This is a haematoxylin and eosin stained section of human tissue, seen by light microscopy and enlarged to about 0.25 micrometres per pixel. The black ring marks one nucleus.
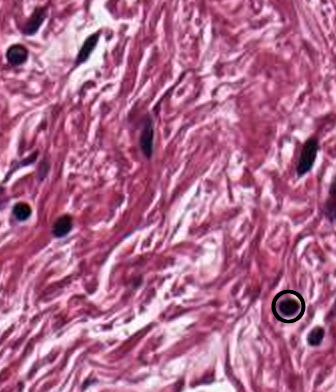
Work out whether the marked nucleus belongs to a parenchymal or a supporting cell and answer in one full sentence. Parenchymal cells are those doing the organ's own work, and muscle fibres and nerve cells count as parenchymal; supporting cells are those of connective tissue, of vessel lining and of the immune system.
Designated as that of a supporting cell is the marked nucleus.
